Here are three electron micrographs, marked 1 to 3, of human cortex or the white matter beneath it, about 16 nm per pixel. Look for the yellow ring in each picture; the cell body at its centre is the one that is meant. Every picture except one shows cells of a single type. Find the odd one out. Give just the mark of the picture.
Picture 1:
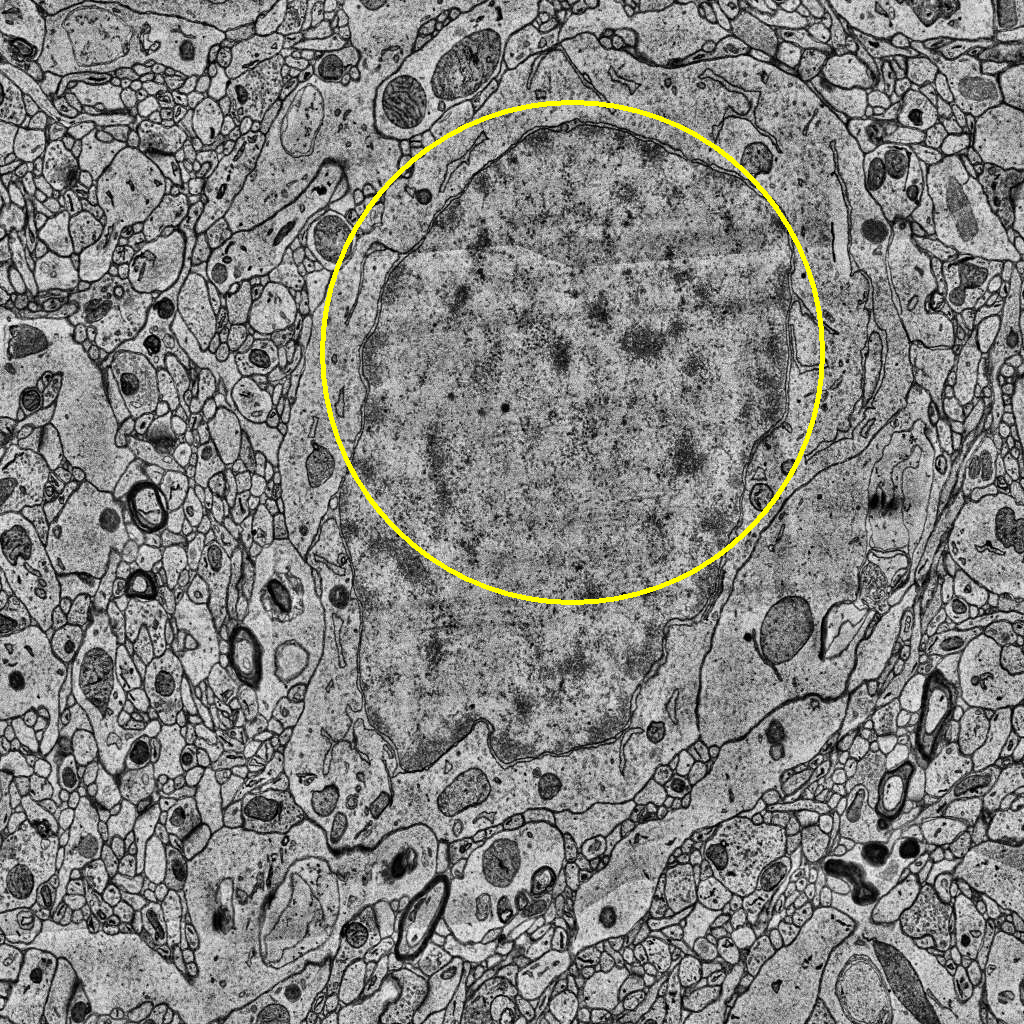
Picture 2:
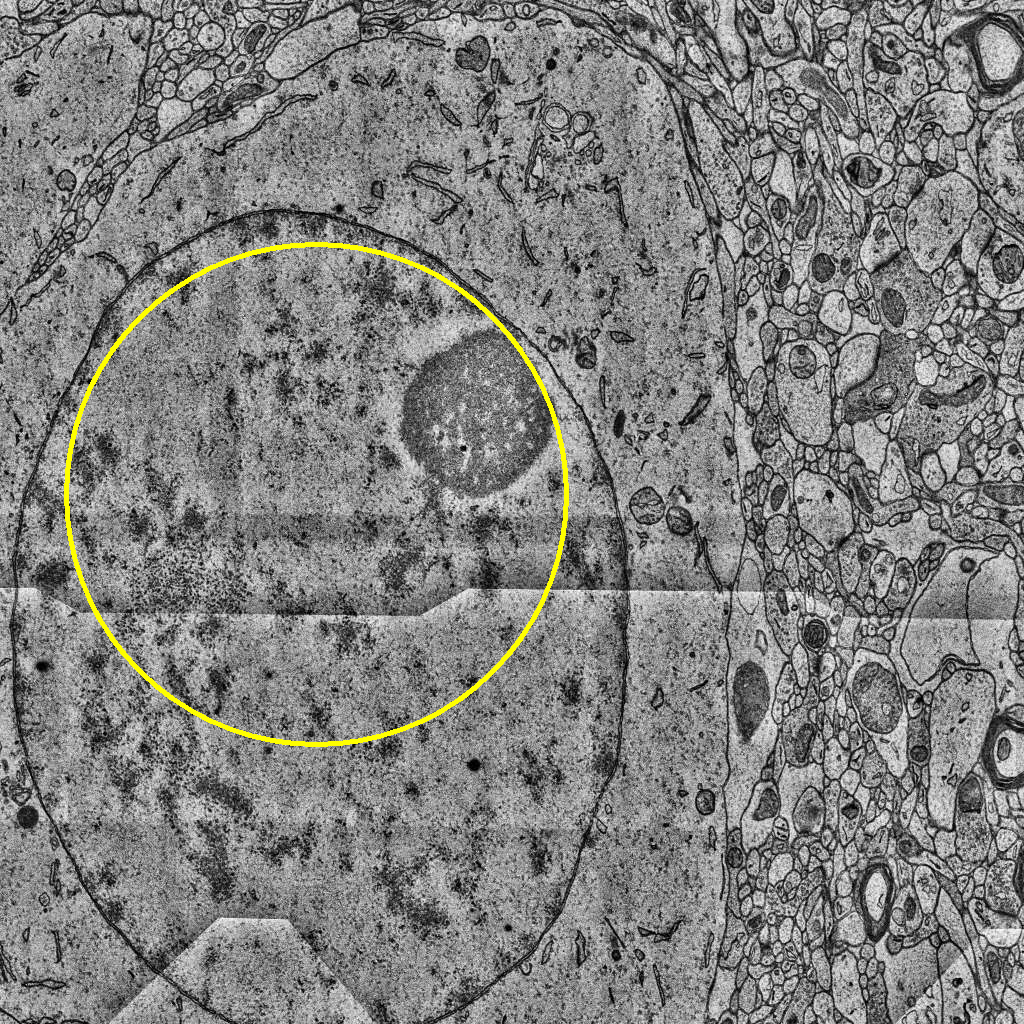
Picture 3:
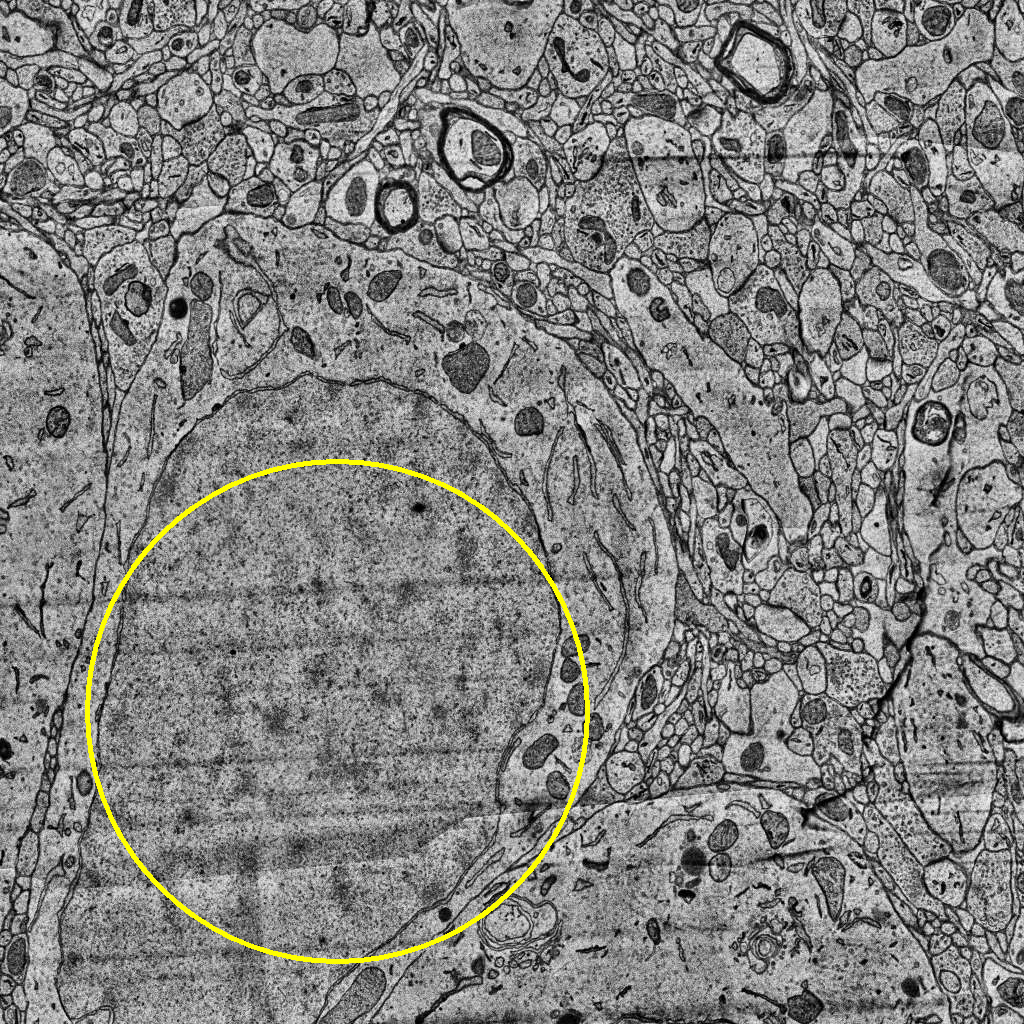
2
